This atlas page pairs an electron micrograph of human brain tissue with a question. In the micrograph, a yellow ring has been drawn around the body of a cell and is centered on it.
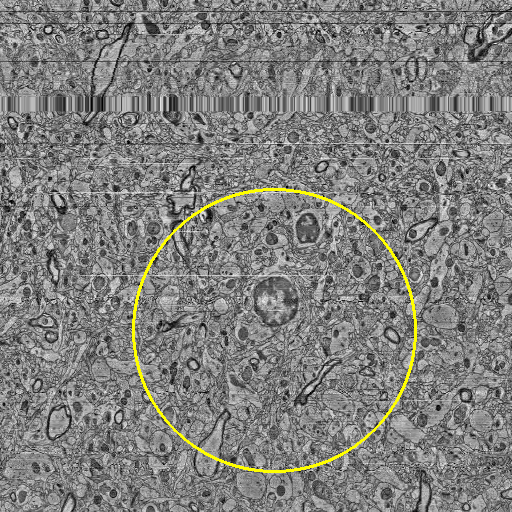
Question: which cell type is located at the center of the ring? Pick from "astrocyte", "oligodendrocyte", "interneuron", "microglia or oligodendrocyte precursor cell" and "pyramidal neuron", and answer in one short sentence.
Located at the center of the ring is a microglial cell or oligodendrocyte precursor cell.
